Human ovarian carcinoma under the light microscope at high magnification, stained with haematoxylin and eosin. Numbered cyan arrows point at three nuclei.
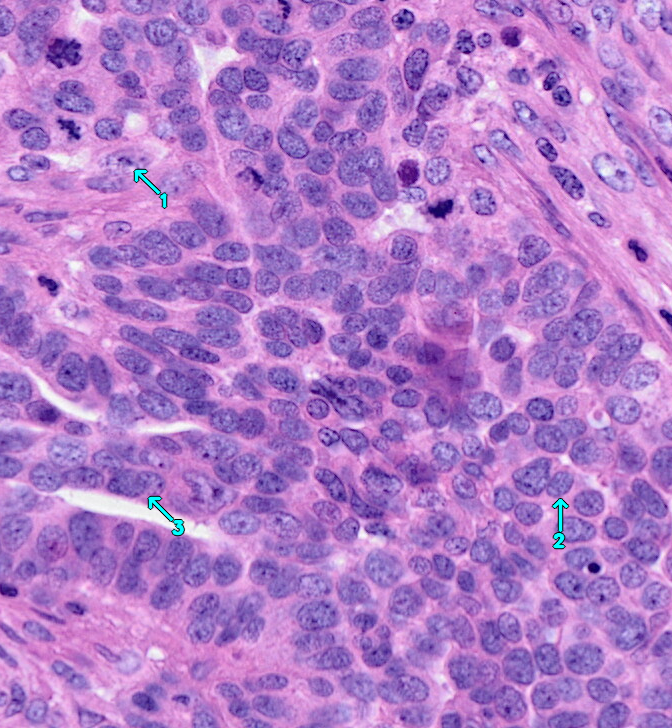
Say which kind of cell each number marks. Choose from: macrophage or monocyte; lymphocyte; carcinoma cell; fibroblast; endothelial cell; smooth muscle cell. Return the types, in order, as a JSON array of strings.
["fibroblast", "carcinoma cell", "carcinoma cell"]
